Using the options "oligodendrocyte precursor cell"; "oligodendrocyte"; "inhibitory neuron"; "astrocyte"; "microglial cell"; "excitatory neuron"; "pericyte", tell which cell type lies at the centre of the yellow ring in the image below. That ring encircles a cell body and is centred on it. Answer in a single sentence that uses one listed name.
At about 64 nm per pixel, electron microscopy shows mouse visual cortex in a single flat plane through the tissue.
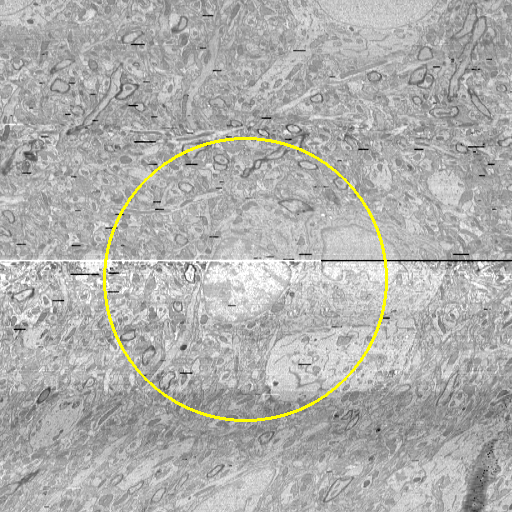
At the centre of the yellow ring lies the body of an oligodendrocyte.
